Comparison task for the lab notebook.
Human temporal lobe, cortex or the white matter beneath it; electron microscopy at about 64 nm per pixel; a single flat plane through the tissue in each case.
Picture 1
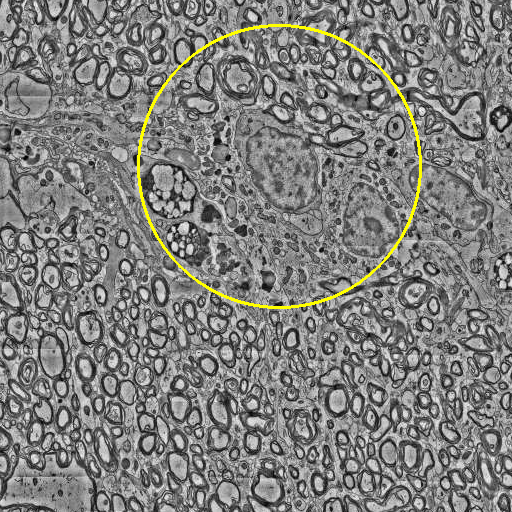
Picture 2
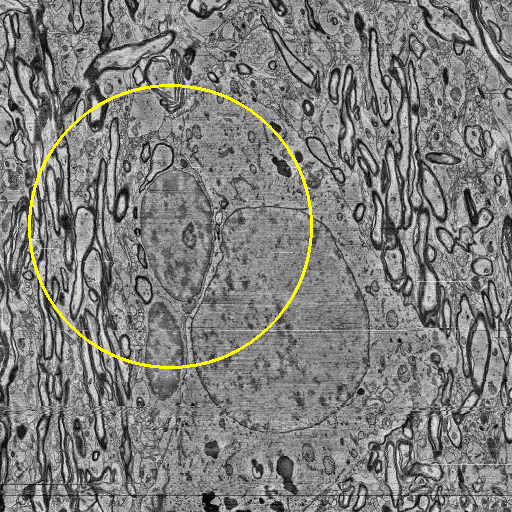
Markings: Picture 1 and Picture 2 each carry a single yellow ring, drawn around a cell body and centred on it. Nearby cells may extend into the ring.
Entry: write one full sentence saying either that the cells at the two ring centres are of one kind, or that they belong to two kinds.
The cells sitting at the ring centres in Picture 1 and Picture 2 are of one kind.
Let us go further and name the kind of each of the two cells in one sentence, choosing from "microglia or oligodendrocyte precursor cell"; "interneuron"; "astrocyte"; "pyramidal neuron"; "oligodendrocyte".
In each picture the ringed cell is an oligodendrocyte.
